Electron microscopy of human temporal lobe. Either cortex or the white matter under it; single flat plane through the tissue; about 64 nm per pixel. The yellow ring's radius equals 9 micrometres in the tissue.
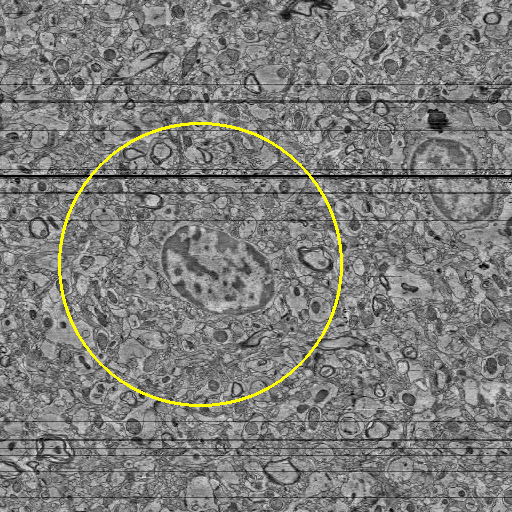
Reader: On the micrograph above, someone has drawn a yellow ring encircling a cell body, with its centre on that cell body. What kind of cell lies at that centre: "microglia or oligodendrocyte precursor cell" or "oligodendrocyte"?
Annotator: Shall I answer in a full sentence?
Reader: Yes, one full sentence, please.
Here a microglial cell or oligodendrocyte precursor cell sits at the centre of the yellow ring drawn on the micrograph.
